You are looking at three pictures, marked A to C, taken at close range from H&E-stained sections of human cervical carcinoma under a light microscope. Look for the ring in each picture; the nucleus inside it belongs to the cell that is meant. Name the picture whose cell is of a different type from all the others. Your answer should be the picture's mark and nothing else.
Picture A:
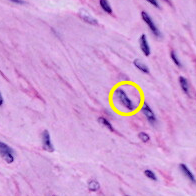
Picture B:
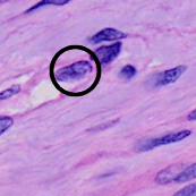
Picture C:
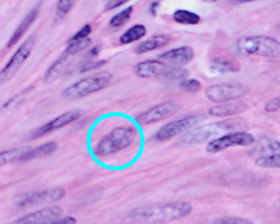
B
